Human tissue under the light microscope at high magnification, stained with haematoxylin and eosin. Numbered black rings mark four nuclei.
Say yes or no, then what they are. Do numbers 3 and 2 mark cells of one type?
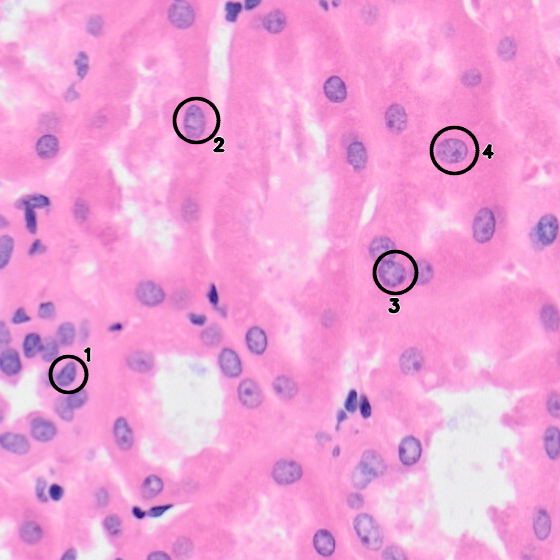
Yes, both are proximal tubule cells.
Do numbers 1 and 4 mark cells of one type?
No, cell 1 is a collecting duct cell and cell 4 is a proximal tubule cell.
